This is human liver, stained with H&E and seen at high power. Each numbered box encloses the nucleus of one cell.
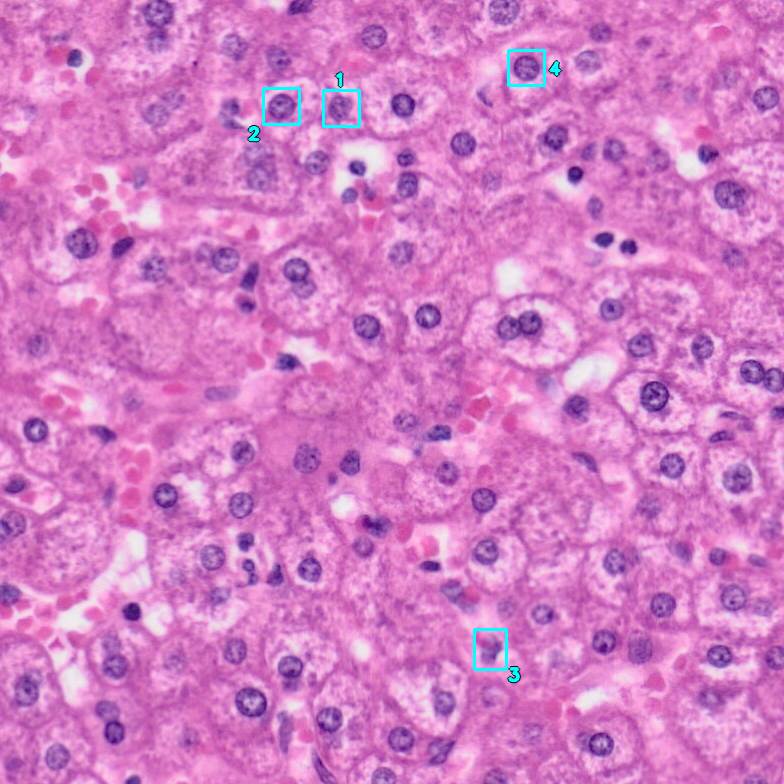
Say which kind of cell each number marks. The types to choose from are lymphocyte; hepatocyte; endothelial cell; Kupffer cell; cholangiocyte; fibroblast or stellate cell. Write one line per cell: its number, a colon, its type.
1: hepatocyte
2: hepatocyte
3: endothelial cell
4: hepatocyte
